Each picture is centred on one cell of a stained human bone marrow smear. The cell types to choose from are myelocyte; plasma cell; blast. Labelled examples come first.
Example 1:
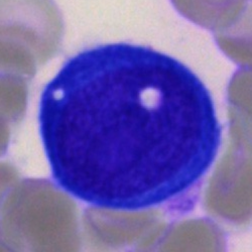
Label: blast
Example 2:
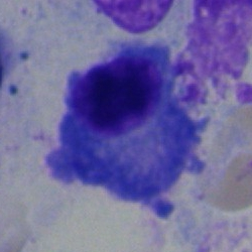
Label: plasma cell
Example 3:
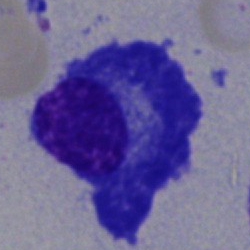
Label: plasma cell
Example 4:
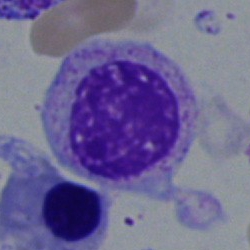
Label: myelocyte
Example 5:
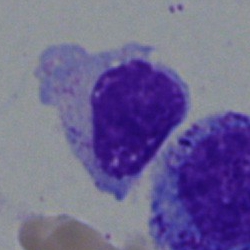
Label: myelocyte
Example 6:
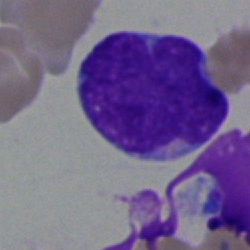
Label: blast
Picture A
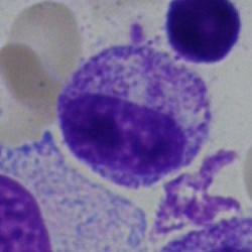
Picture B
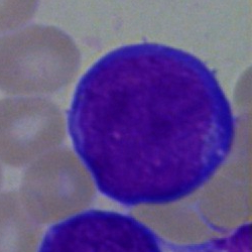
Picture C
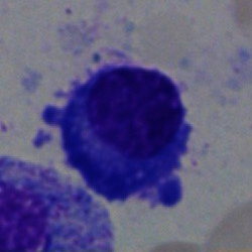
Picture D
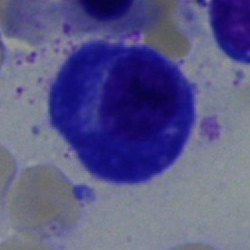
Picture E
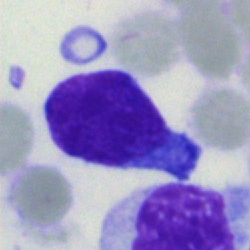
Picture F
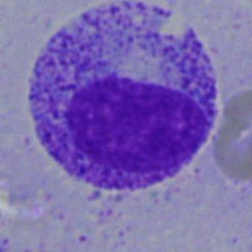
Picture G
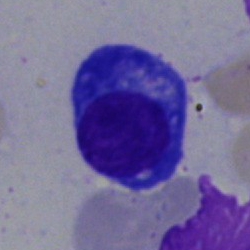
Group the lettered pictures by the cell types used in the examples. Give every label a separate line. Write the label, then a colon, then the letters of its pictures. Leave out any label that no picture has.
myelocyte: A, F
plasma cell: C, D, G
blast: B, E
